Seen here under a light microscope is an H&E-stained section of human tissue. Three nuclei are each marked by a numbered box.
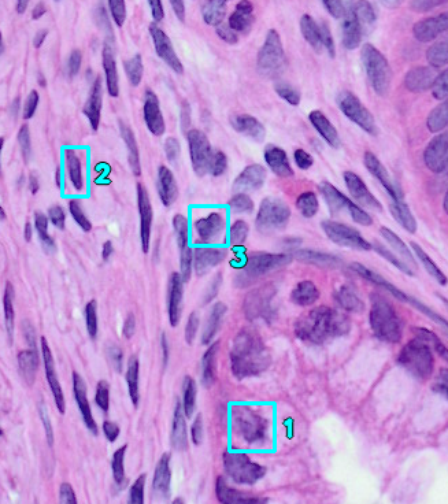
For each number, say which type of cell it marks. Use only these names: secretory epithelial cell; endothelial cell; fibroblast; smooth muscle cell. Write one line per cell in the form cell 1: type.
cell 1: secretory epithelial cell
cell 2: fibroblast
cell 3: fibroblast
